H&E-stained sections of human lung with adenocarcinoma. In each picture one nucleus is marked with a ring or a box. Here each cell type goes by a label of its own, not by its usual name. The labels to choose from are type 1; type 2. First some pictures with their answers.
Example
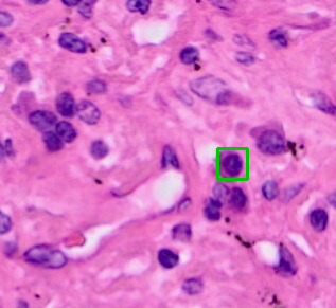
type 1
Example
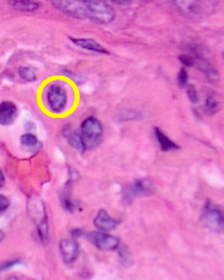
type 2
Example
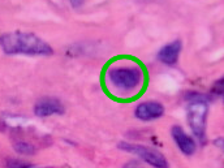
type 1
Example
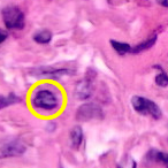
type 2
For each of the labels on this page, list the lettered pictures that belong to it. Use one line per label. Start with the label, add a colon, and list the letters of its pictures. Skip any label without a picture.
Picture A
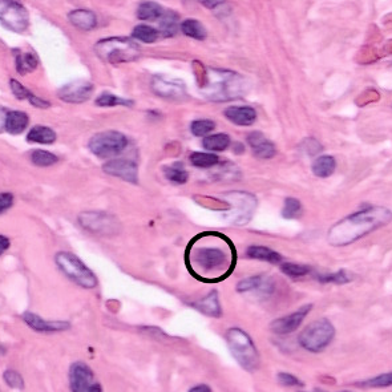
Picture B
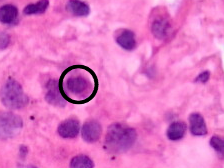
type 1: A, B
